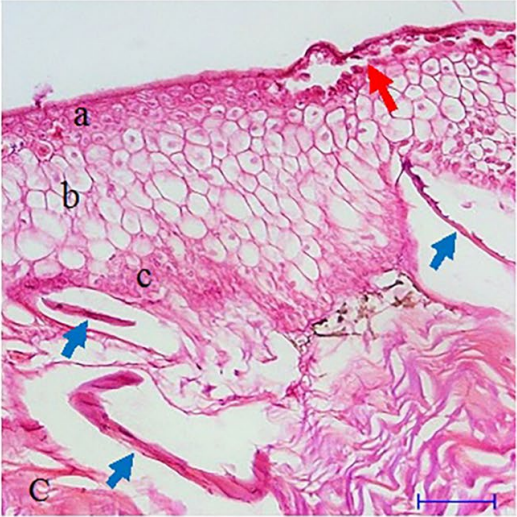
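This is fish skin at higher power, showing a thick epidermis made of many layers of cells. At the outer surface a small bulge holds a cluster of darker cells. Below the epidermis, the looser pink connective tissue of the dermis contains clear pockets, and in these lie thin, curved, deeply pink plates without cells: the scales.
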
